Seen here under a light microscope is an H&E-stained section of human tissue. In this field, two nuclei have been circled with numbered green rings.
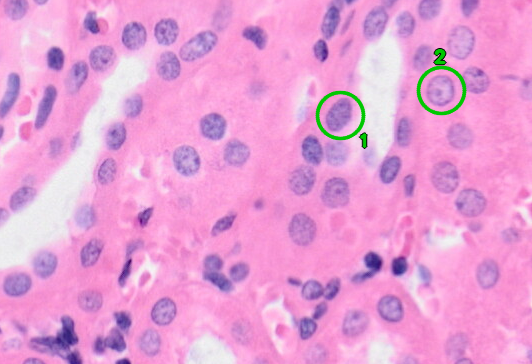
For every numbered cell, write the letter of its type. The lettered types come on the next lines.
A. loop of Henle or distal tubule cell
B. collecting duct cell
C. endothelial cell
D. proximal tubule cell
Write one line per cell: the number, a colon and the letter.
1: B
2: D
